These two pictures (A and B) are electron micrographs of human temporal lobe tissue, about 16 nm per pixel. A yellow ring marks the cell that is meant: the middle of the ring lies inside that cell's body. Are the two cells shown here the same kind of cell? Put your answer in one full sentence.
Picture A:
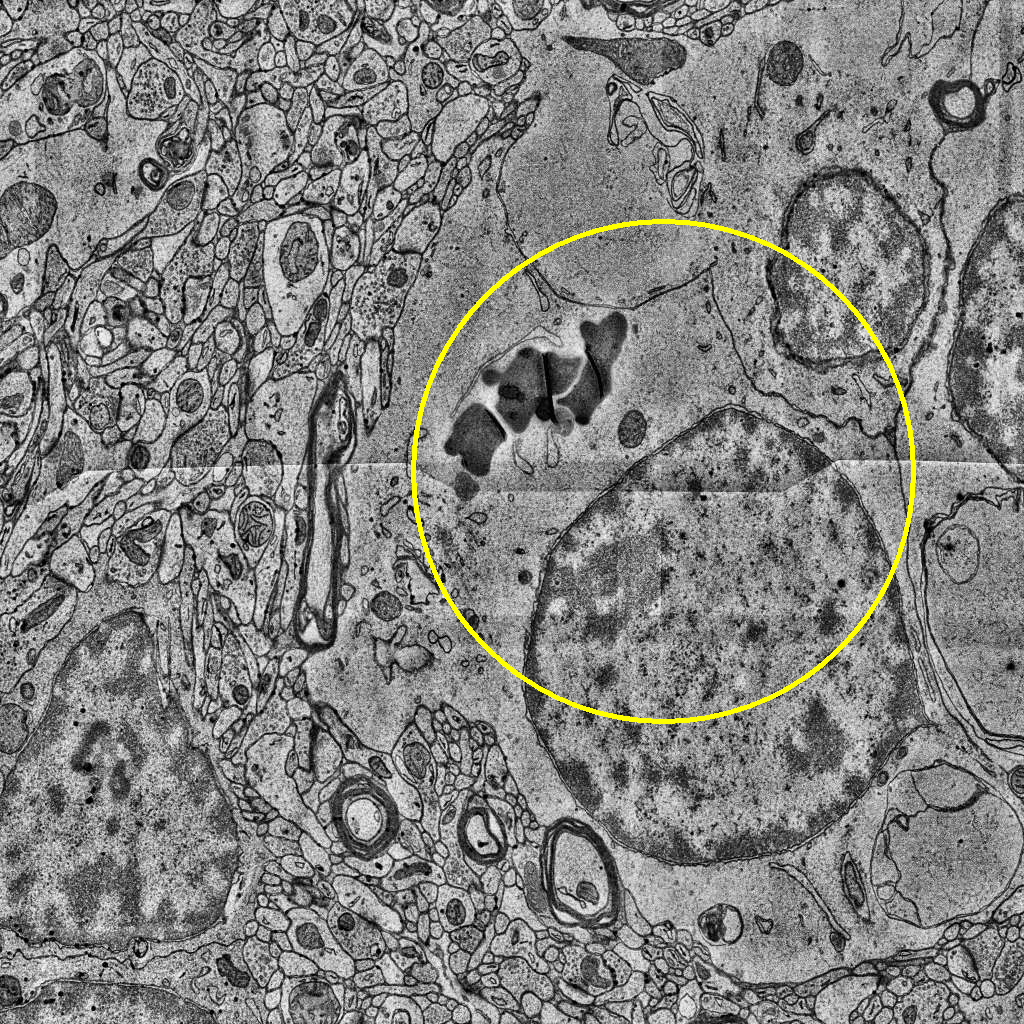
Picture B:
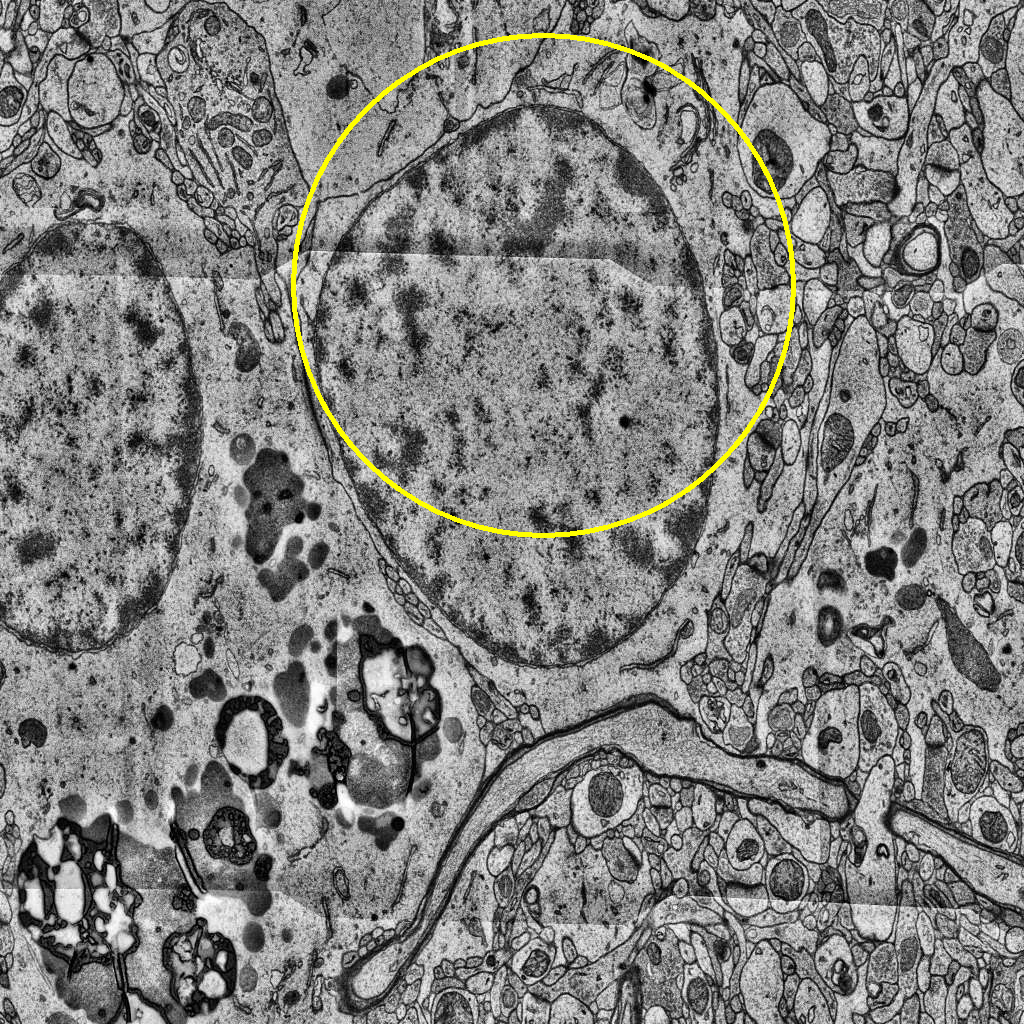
Yes, both are astrocytes.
